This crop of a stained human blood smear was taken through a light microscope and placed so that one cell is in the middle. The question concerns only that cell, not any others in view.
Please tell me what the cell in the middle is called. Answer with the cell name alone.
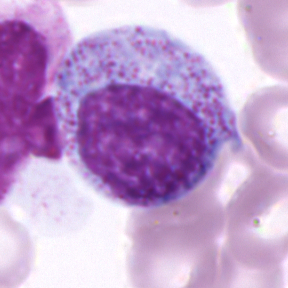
promyelocyte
